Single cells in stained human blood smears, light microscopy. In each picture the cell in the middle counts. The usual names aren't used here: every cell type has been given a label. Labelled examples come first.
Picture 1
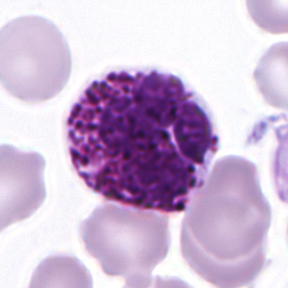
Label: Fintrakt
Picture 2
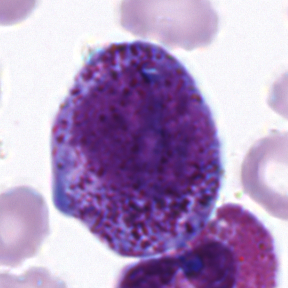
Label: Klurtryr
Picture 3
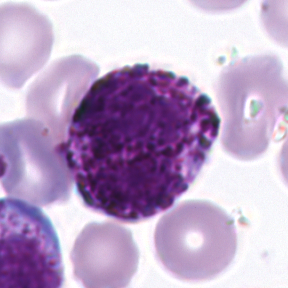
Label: Fintrakt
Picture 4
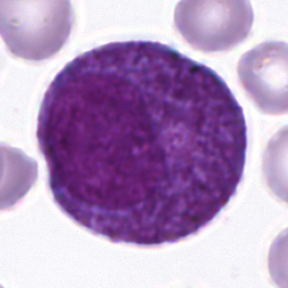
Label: Klurtryr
